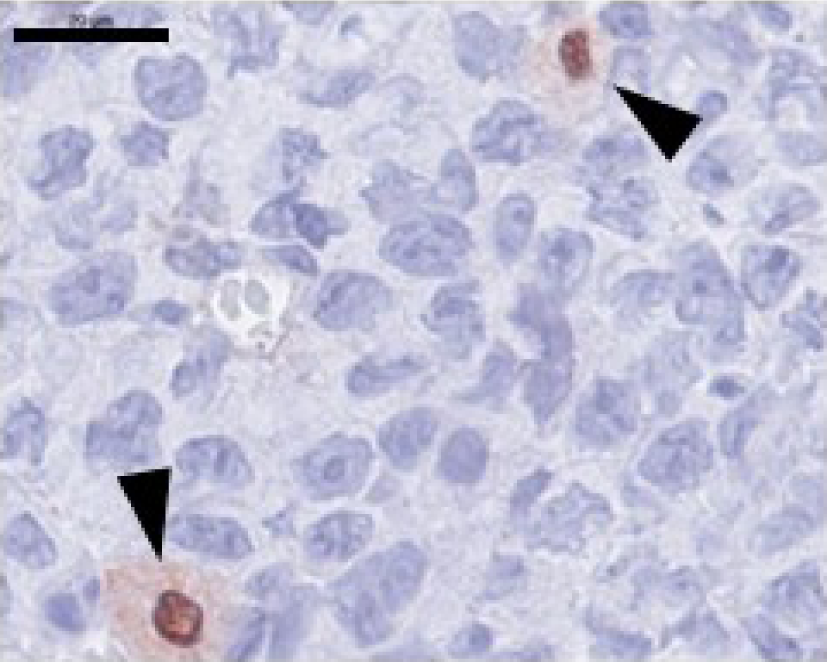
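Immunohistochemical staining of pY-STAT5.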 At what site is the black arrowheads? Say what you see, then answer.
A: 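The nuclei of the marked cells are stained dark brown. A paler brown rim surrounds each marked nucleus.
Nuclear and cytoplasmic.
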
